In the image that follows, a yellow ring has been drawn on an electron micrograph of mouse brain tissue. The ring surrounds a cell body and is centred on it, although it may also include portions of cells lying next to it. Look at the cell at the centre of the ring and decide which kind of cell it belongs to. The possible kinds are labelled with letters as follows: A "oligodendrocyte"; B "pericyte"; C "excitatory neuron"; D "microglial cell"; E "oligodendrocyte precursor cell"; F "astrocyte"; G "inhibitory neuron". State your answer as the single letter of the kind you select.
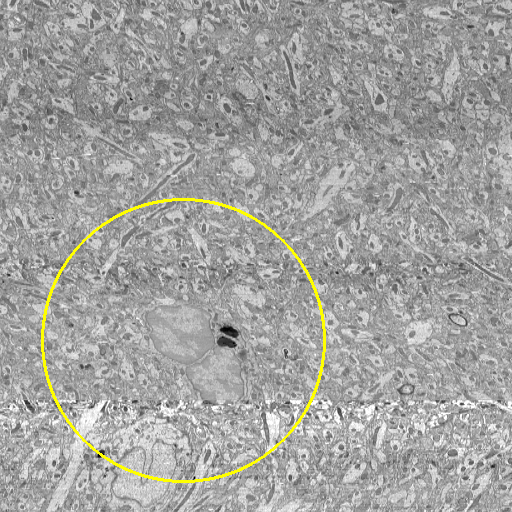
D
